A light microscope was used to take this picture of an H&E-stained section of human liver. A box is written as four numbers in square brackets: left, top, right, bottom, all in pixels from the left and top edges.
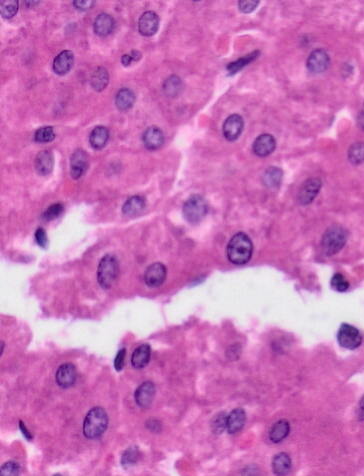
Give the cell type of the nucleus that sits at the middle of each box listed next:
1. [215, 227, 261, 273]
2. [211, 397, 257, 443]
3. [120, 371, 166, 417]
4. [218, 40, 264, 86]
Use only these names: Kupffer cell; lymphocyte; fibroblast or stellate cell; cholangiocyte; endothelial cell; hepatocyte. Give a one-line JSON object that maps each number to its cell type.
{"1": "hepatocyte", "2": "hepatocyte", "3": "hepatocyte", "4": "Kupffer cell"}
